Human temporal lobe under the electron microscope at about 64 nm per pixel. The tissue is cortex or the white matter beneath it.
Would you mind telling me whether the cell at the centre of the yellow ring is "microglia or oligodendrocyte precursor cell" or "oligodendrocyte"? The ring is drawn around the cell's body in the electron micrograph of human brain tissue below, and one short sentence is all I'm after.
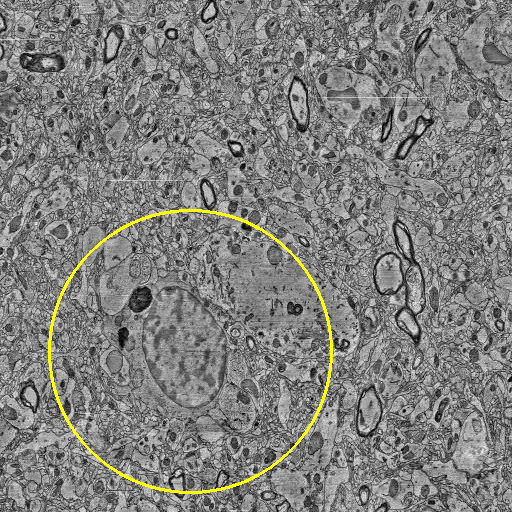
In the centre of the ring lies an oligodendrocyte.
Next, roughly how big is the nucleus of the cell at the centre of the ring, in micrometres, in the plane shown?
At approximately 8 by 5 micrometres, the nucleus is clearly longer than it is wide in this plane.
